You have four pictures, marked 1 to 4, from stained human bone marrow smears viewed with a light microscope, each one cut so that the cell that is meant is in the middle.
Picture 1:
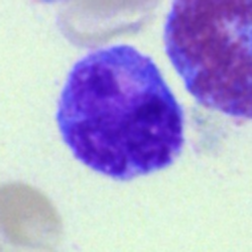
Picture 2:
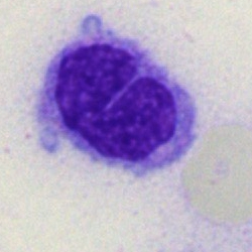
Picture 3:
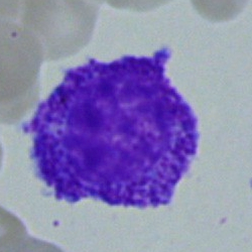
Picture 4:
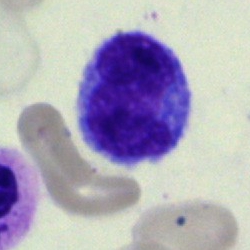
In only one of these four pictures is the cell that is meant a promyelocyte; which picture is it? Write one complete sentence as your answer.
It is picture 3 that shows the promyelocyte.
